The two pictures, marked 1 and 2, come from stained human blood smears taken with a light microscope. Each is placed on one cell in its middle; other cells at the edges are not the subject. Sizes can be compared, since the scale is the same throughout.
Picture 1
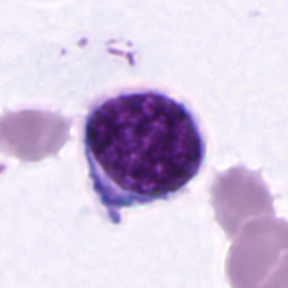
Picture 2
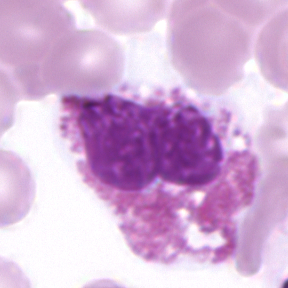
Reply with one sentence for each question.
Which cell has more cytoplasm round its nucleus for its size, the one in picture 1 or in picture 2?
In picture 2 the nucleus takes up the smaller part of its cell.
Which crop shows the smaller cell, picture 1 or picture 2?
Picture 1 holds the smaller cell, since the cell in picture 2 covers about 2 times as much area.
